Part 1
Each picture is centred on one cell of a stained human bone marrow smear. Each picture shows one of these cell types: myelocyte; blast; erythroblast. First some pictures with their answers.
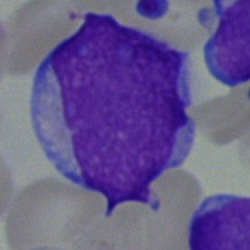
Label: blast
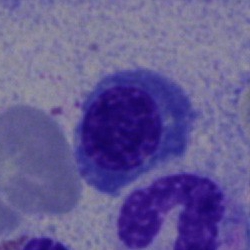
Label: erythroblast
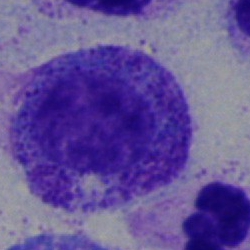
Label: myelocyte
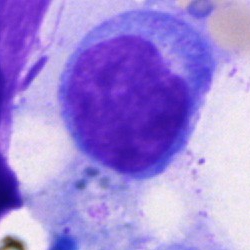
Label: blast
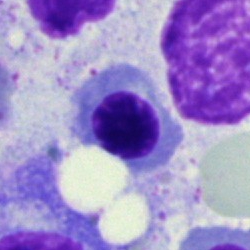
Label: erythroblast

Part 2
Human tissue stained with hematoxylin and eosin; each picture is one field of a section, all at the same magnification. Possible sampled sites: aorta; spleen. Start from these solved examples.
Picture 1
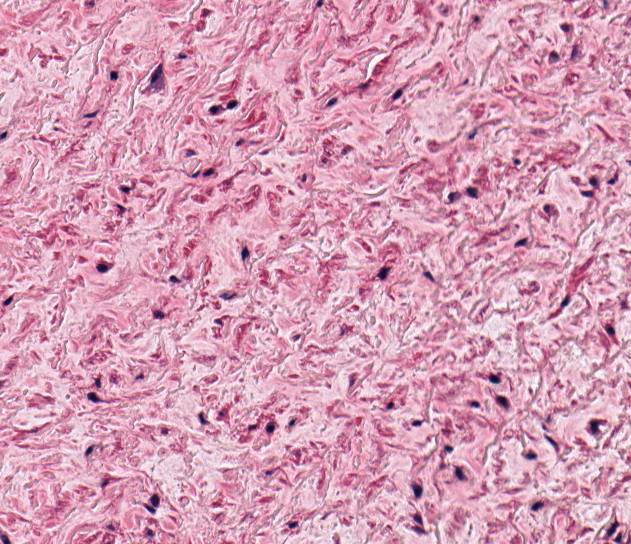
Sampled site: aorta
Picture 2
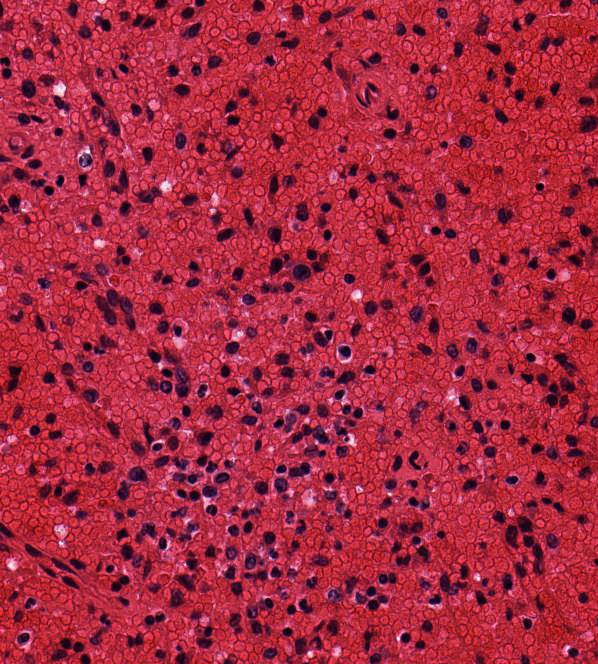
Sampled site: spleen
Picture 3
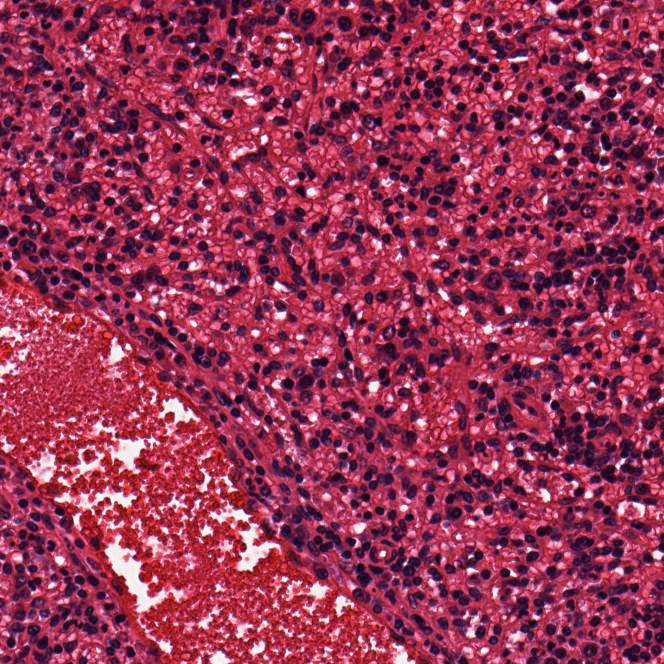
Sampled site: spleen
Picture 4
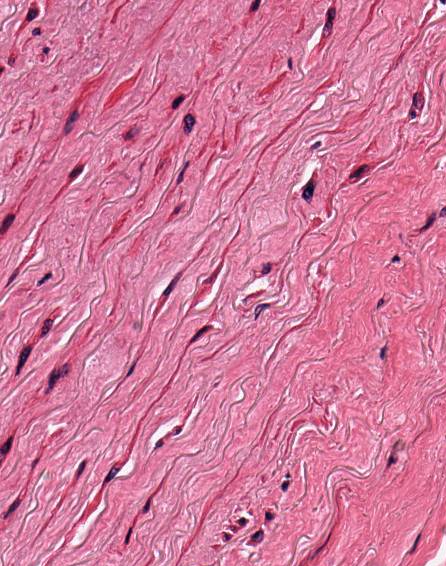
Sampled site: aorta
